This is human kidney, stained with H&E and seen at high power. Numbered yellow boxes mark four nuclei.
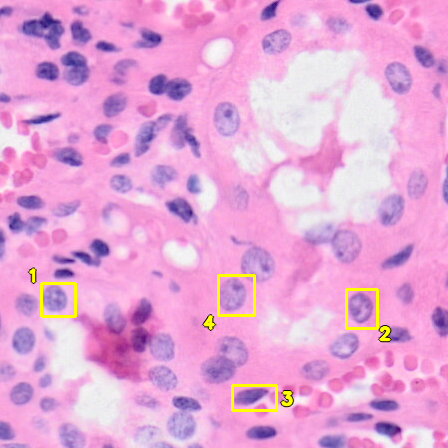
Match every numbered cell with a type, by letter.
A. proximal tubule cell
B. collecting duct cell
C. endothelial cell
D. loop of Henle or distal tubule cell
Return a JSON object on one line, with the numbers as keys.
{"1": "B", "2": "A", "3": "C", "4": "A"}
